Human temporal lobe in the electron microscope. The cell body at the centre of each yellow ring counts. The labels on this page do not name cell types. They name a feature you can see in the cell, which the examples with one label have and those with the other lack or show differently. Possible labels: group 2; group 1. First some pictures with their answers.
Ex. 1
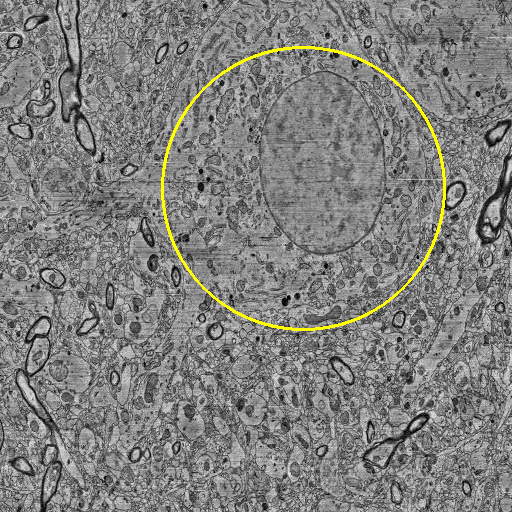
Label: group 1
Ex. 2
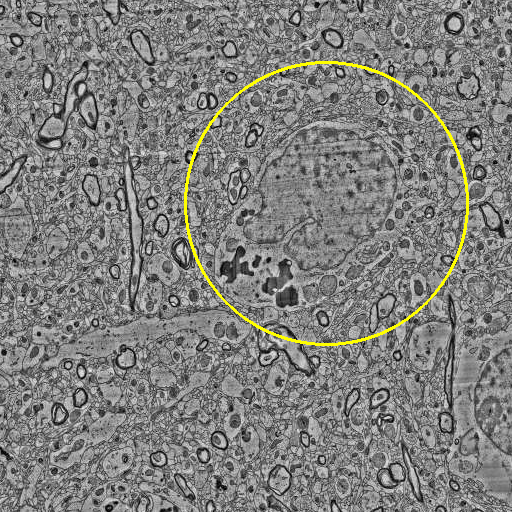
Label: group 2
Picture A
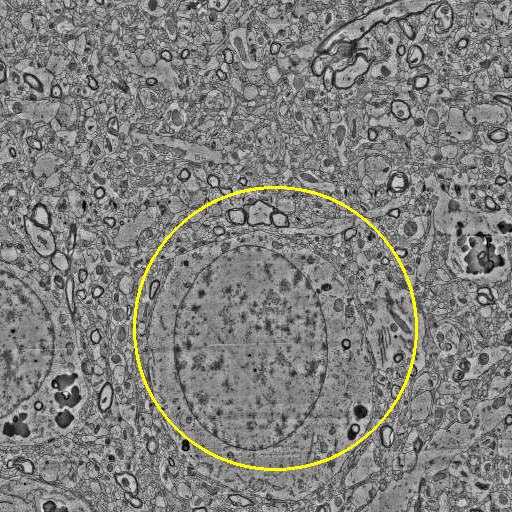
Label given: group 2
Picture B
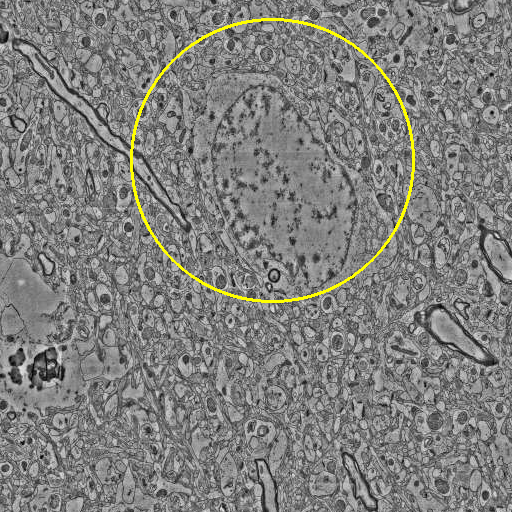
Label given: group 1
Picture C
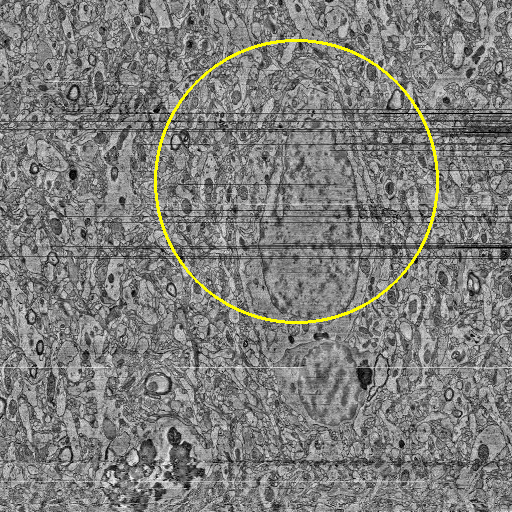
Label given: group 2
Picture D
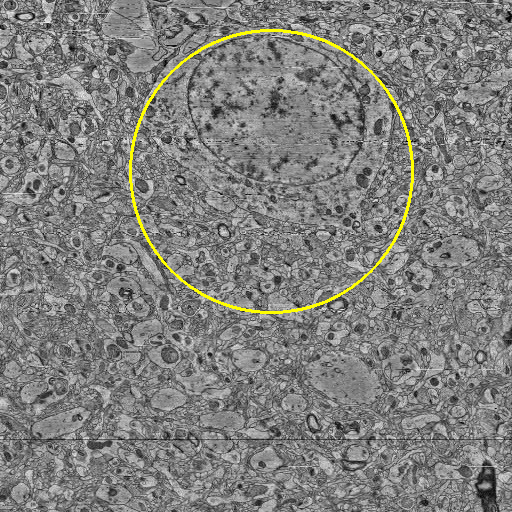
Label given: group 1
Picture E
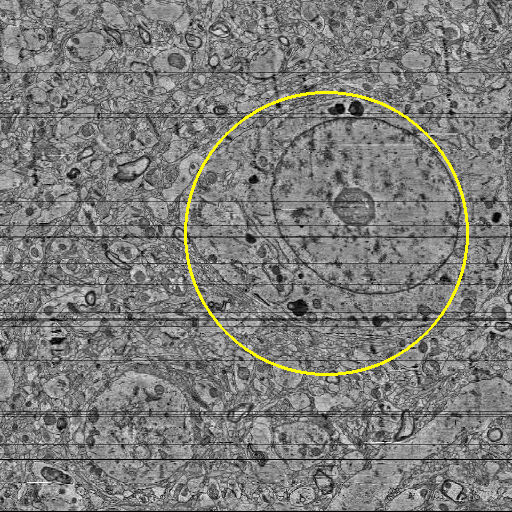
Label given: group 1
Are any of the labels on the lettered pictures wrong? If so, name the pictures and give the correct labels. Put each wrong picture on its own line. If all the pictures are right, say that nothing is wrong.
A should be group 1, not group 2
C should be group 1, not group 2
